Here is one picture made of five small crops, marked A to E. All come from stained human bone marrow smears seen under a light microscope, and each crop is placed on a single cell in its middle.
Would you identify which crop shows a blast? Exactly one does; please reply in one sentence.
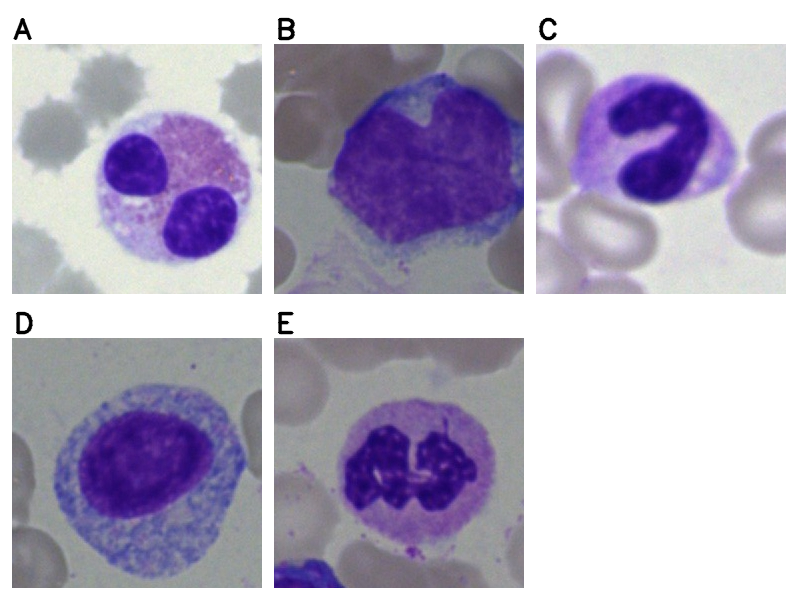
Crop B is the correct crop, and it shows a blast.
